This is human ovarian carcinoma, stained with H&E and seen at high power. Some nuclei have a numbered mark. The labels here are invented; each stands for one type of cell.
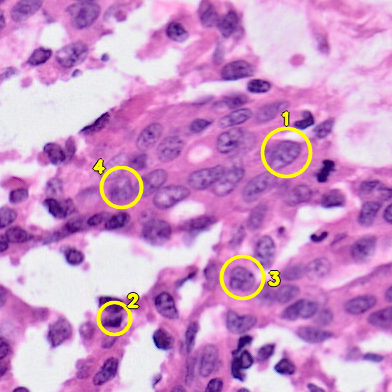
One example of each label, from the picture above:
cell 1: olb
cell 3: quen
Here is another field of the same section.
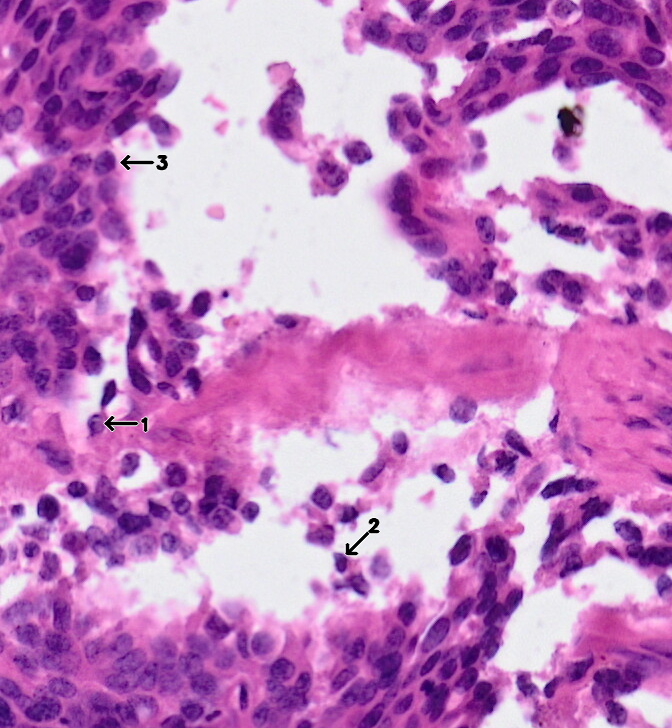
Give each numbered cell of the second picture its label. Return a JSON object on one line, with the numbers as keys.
{"1": "quen", "2": "olb", "3": "olb"}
